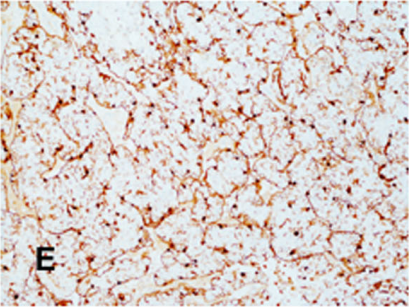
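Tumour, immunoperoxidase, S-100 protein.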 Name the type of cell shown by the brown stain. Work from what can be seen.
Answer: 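Sustentacular cells. Brown slender processes form a network between unstained cells. Scattered small brown-stained nuclei lie within the network.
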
